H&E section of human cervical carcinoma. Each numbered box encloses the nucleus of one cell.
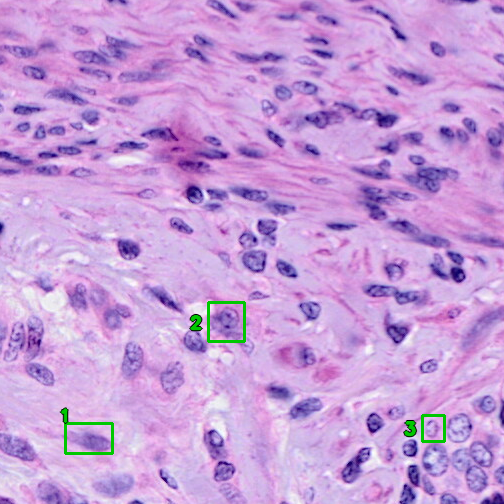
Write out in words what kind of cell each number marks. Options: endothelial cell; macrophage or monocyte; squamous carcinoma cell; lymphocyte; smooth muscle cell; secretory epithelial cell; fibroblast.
Cell 1 is a fibroblast, cell 2 is an endothelial cell and cell 3 is an endothelial cell.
